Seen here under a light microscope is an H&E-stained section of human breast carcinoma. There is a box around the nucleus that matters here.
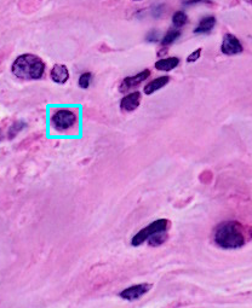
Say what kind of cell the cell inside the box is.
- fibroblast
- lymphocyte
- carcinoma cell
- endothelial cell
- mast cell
mast cell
